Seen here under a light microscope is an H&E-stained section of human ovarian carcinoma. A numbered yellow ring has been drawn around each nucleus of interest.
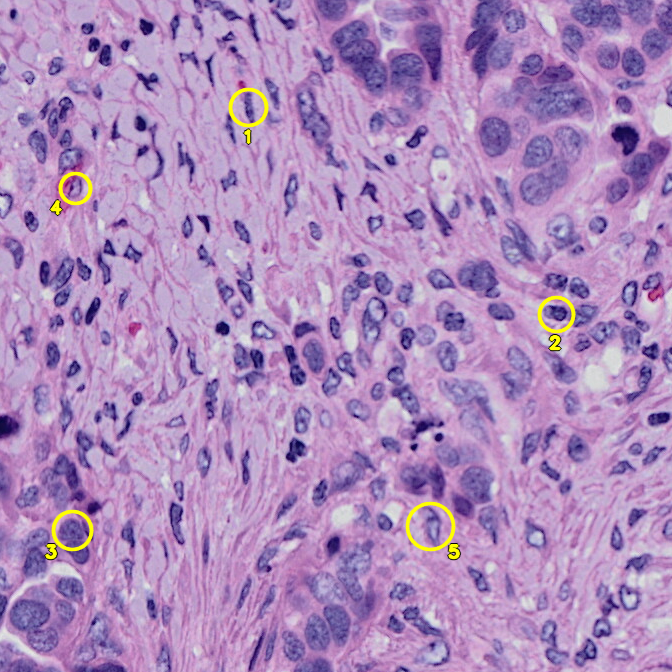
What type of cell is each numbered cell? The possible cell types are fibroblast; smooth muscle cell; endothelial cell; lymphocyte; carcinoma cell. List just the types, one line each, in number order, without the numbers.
fibroblast
lymphocyte
carcinoma cell
endothelial cell
fibroblast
